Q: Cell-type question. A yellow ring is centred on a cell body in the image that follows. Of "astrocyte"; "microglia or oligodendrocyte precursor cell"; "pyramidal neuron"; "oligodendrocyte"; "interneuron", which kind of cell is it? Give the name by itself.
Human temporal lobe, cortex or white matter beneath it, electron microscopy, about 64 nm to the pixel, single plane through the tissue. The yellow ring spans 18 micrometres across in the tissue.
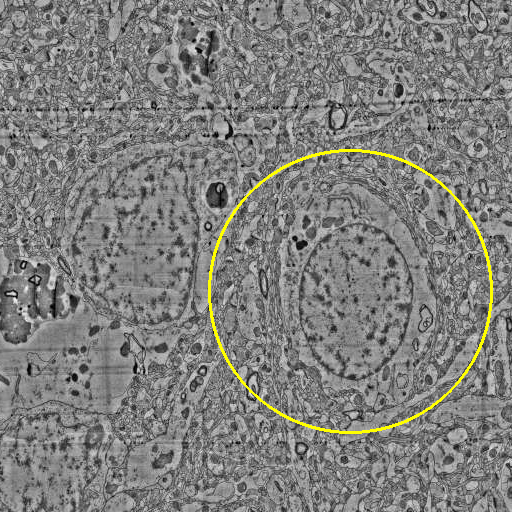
astrocyte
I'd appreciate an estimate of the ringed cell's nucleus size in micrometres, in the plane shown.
In this plane, approximately 10 by 7 micrometers.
